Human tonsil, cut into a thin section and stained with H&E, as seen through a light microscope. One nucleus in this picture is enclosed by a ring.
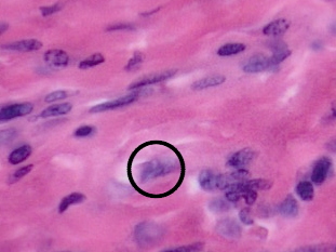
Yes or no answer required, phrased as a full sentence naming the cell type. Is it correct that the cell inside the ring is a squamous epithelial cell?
No, the cell inside the ring is an endothelial cell rather than a squamous epithelial cell in this section.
